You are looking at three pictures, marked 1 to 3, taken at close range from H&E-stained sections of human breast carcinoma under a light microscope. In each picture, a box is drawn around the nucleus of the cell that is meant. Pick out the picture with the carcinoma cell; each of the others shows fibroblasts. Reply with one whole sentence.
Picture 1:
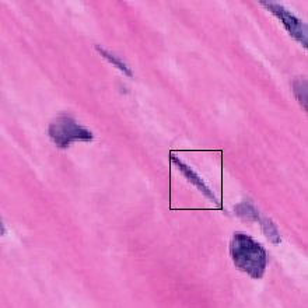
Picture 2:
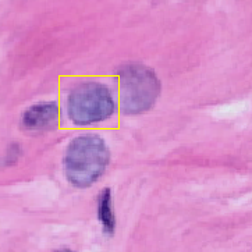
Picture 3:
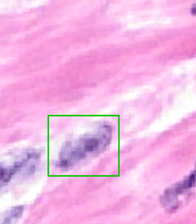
Picture 2 is the one that shows the carcinoma cell.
